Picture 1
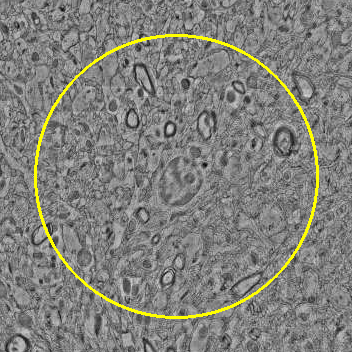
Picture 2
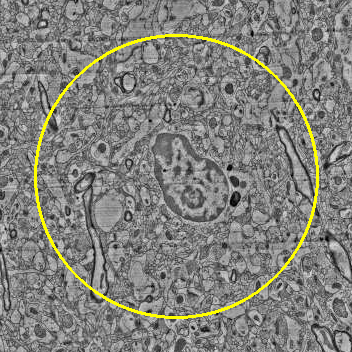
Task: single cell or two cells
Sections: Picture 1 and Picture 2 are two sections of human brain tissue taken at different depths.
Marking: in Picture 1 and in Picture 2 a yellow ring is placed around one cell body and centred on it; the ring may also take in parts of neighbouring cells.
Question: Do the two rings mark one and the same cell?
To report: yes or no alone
no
